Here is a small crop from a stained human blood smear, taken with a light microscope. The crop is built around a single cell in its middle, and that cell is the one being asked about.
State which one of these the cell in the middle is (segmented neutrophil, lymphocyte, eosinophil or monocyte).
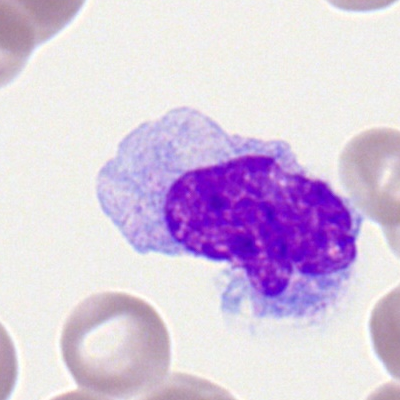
monocyte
